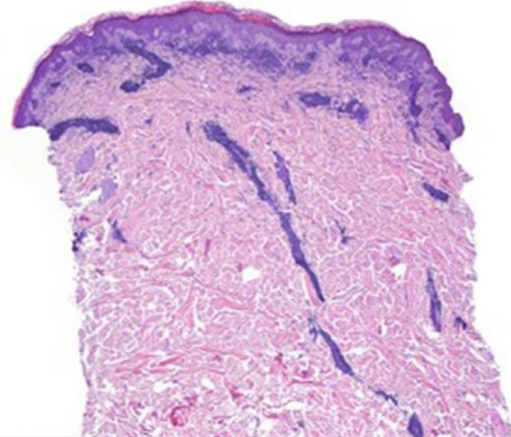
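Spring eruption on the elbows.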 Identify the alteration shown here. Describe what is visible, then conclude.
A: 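Dark blue cellular cuffs lie in the upper dermis and along vessels running deep into the dermis. The cellular collections follow elongated vessel-like tracts.
Hence: Superficial and deep perivascular lymphocytic infiltrate.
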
